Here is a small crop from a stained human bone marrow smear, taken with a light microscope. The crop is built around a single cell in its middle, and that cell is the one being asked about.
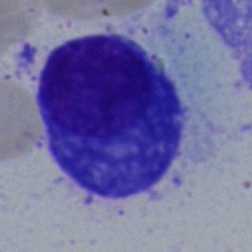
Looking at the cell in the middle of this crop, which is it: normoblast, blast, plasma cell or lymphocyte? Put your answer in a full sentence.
Seen at the centre of the crop is a plasma cell.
